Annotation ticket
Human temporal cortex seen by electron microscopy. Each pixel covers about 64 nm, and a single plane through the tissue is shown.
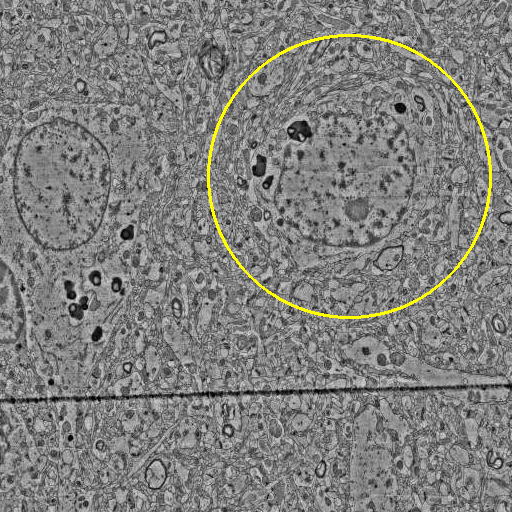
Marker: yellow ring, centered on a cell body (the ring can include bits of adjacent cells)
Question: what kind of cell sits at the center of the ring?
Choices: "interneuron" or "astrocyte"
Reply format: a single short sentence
The ring is centered on an interneuron.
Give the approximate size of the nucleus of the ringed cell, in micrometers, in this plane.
About 9 micrometres across in this plane.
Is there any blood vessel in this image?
No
